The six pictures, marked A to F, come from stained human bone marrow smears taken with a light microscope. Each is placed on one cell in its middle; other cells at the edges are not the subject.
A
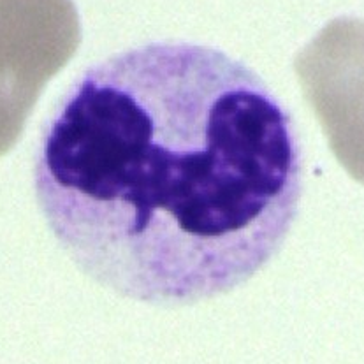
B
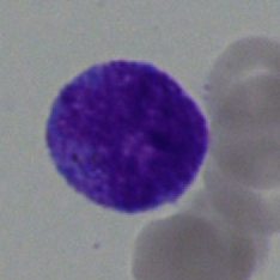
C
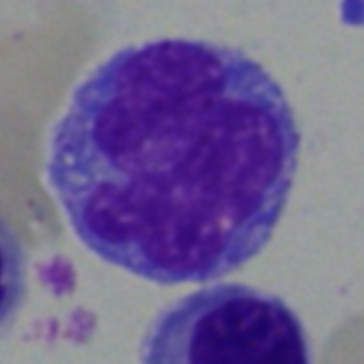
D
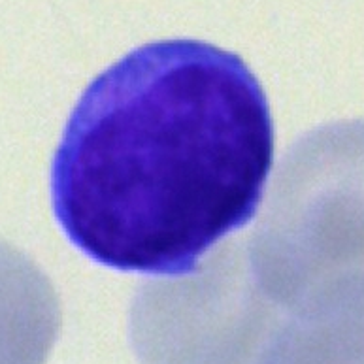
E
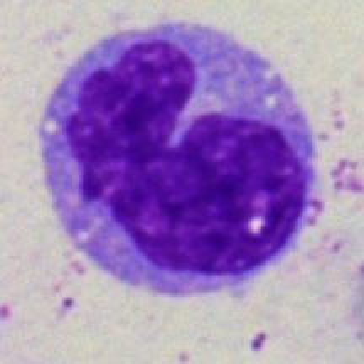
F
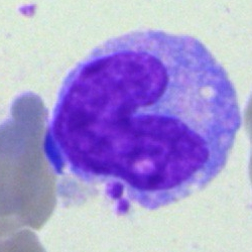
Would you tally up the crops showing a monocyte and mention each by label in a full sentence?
Here, four crops in all show monocytes: B, C, E and F.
